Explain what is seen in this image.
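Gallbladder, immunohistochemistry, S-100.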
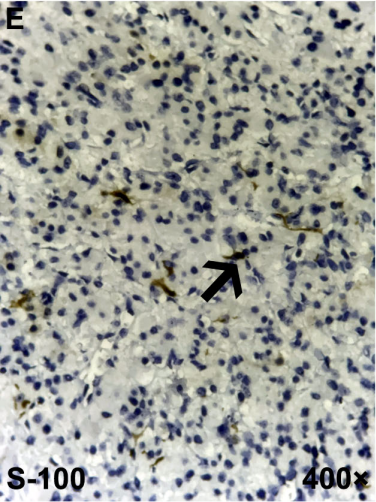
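This is a paraganglioma in which most tumor cells have round to oval blue nuclei and pale, unstained cytoplasm. Scattered among them are a few slender, spindle-shaped sustentacular cells stained brown, with thin processes that wind between the tumor cells.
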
